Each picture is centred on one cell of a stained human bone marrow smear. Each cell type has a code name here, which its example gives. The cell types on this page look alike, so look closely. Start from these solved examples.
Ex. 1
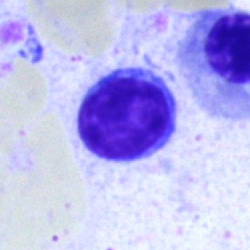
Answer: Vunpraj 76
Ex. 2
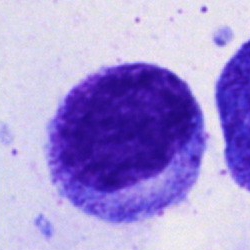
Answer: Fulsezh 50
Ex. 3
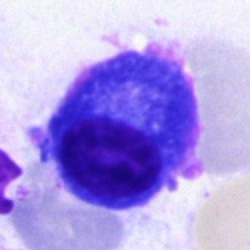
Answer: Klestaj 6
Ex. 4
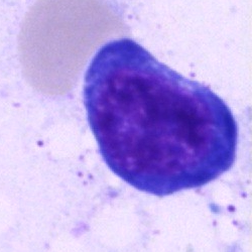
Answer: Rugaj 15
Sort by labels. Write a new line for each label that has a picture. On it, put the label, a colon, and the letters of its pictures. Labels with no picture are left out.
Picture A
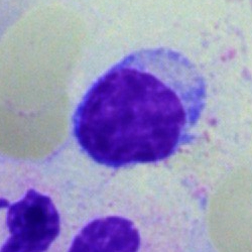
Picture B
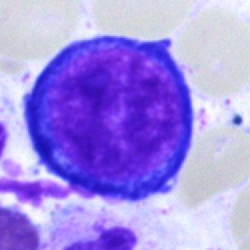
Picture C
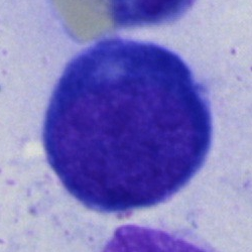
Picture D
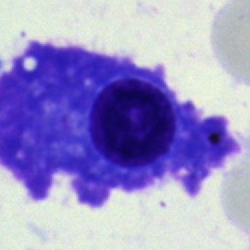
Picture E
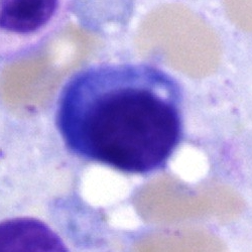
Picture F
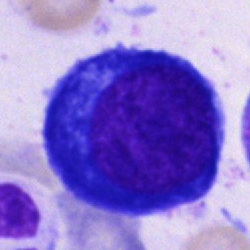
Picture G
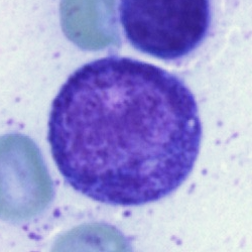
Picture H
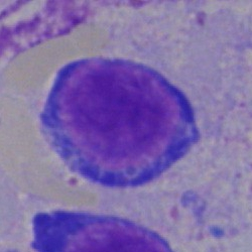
Vunpraj 76: A
Fulsezh 50: G
Klestaj 6: D, E
Rugaj 15: B, C, F, H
